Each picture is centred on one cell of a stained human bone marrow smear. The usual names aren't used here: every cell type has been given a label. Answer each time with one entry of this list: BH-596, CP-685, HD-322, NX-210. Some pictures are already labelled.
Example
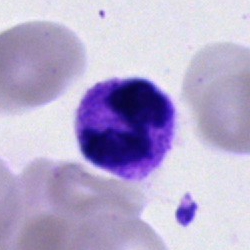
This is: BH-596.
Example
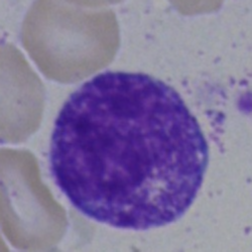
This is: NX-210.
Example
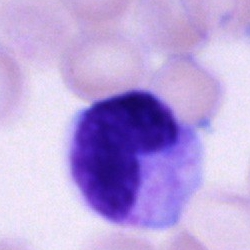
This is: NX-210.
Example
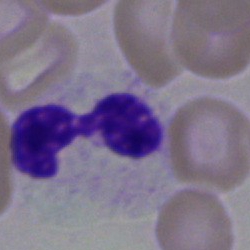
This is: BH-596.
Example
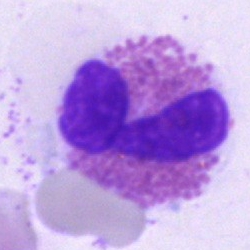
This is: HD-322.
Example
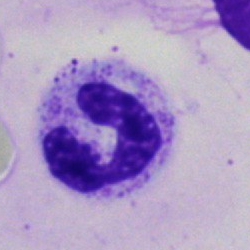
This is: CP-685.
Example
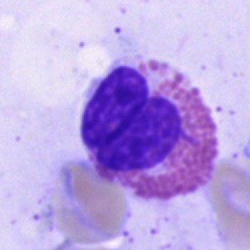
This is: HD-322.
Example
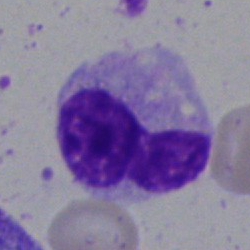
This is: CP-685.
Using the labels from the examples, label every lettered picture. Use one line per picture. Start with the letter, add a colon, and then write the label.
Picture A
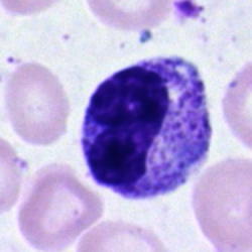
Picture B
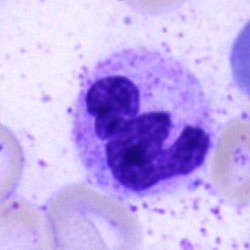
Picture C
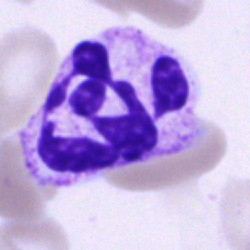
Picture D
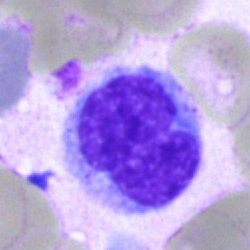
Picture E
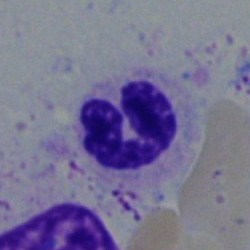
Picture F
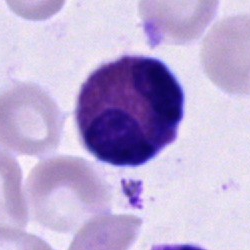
A: NX-210.
B: BH-596.
C: BH-596.
D: NX-210.
E: BH-596.
F: HD-322.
